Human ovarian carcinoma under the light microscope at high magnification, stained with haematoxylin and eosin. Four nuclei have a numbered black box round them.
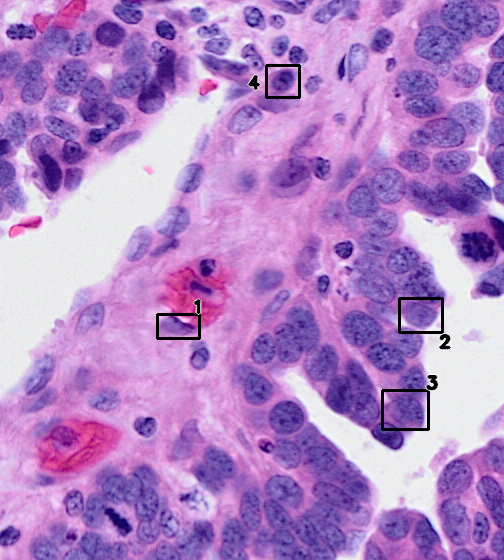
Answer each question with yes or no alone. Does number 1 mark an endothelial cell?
yes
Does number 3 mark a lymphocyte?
no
